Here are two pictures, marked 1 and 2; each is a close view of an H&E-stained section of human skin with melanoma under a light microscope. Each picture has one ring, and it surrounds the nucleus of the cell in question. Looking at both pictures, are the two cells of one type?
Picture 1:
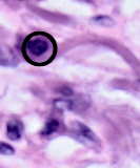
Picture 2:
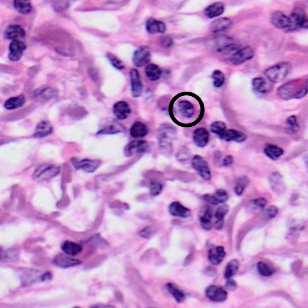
yes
